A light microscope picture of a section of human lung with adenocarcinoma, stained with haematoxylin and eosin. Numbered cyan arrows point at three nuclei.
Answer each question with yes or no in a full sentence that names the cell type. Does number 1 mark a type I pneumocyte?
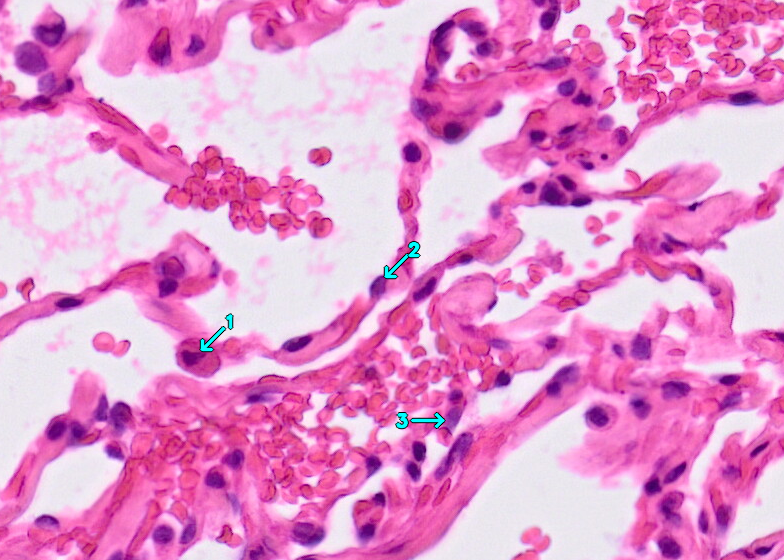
No, the cell denoted 1 is a macrophage or monocyte rather than a type I pneumocyte.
